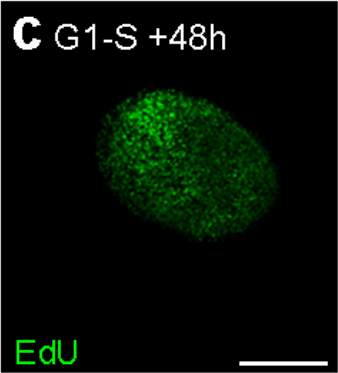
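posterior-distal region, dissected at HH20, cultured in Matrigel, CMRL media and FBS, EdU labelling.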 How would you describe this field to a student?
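Many tiny green dots, each a labelled nucleus, are packed throughout most of the tissue. They are spread across nearly the whole explant and look somewhat denser in some areas than in others.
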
